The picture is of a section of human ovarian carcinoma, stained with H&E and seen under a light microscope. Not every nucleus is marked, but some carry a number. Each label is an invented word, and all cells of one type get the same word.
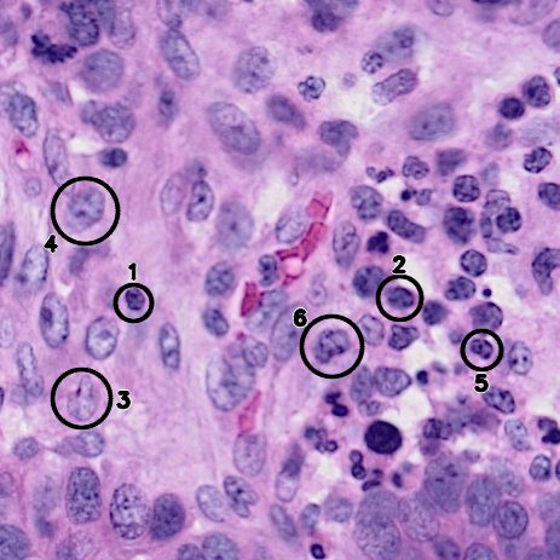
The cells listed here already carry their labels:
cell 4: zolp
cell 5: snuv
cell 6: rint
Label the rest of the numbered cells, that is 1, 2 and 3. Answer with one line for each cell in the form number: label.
1: snuv
2: snuv
3: zolp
